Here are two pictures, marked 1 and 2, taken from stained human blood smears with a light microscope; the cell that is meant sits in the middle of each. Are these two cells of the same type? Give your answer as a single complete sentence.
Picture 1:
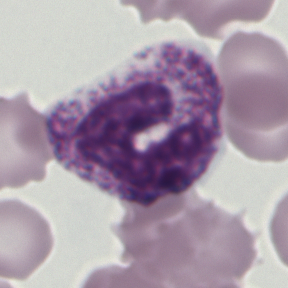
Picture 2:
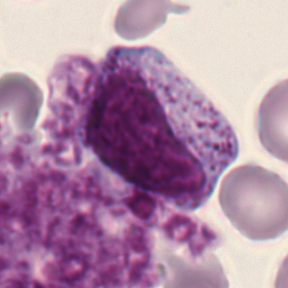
No, the types are not the same, since picture 1 shows a band neutrophil and picture 2 a metamyelocyte.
